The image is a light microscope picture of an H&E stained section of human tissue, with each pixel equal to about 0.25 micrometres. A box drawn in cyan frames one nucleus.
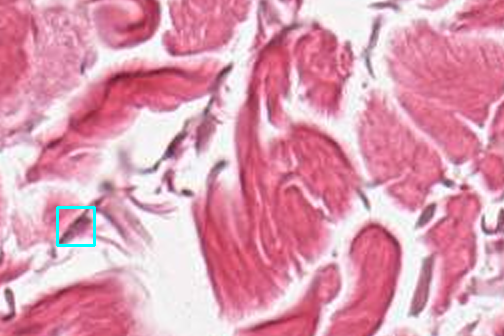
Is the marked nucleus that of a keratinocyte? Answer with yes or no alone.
no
